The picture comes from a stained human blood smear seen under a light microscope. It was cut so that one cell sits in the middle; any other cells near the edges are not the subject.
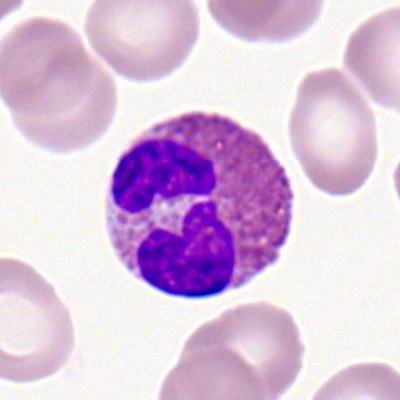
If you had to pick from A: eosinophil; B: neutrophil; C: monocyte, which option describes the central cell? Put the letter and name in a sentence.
The correct identification, given in option A, is that the central cell is an eosinophil.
